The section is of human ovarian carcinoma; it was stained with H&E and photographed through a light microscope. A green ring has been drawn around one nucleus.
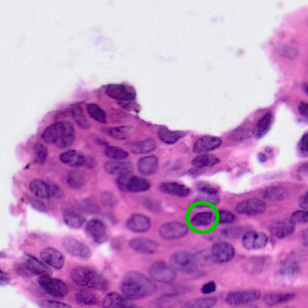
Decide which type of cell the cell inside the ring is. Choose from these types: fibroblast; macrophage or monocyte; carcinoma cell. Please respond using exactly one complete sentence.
Students should answer that the cell inside the ring is a carcinoma cell.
